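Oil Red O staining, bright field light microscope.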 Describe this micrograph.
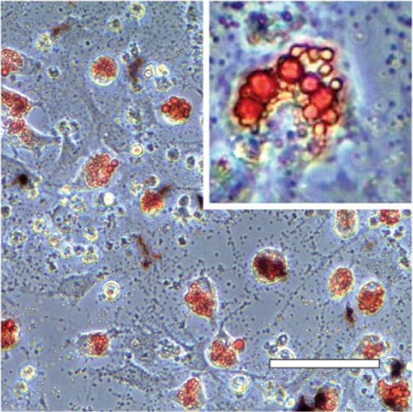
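These are cultured adipocytes, many of them rounded cells whose cytoplasm is filled with red-stained lipid droplets. The droplets are spherical and of varying size, packed together within each cell, as the inset shows, while the surrounding flattened cells and background stay pale grey.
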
